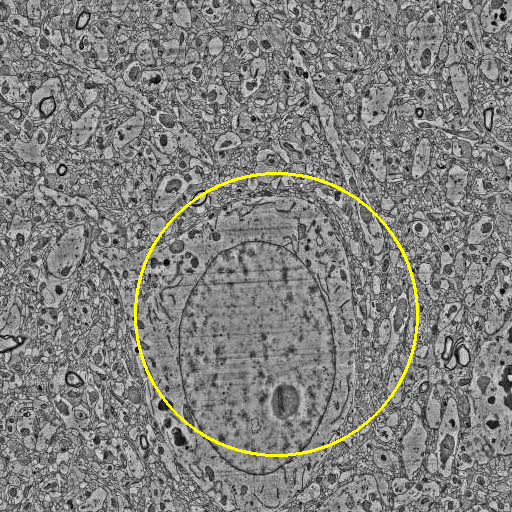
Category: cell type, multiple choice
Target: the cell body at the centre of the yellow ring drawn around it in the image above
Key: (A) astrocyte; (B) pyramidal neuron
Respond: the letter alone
B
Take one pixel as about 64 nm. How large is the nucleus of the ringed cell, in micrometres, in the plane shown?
The nucleus has a long axis of about 15 micrometres and a short axis of about 10 micrometres in this plane.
